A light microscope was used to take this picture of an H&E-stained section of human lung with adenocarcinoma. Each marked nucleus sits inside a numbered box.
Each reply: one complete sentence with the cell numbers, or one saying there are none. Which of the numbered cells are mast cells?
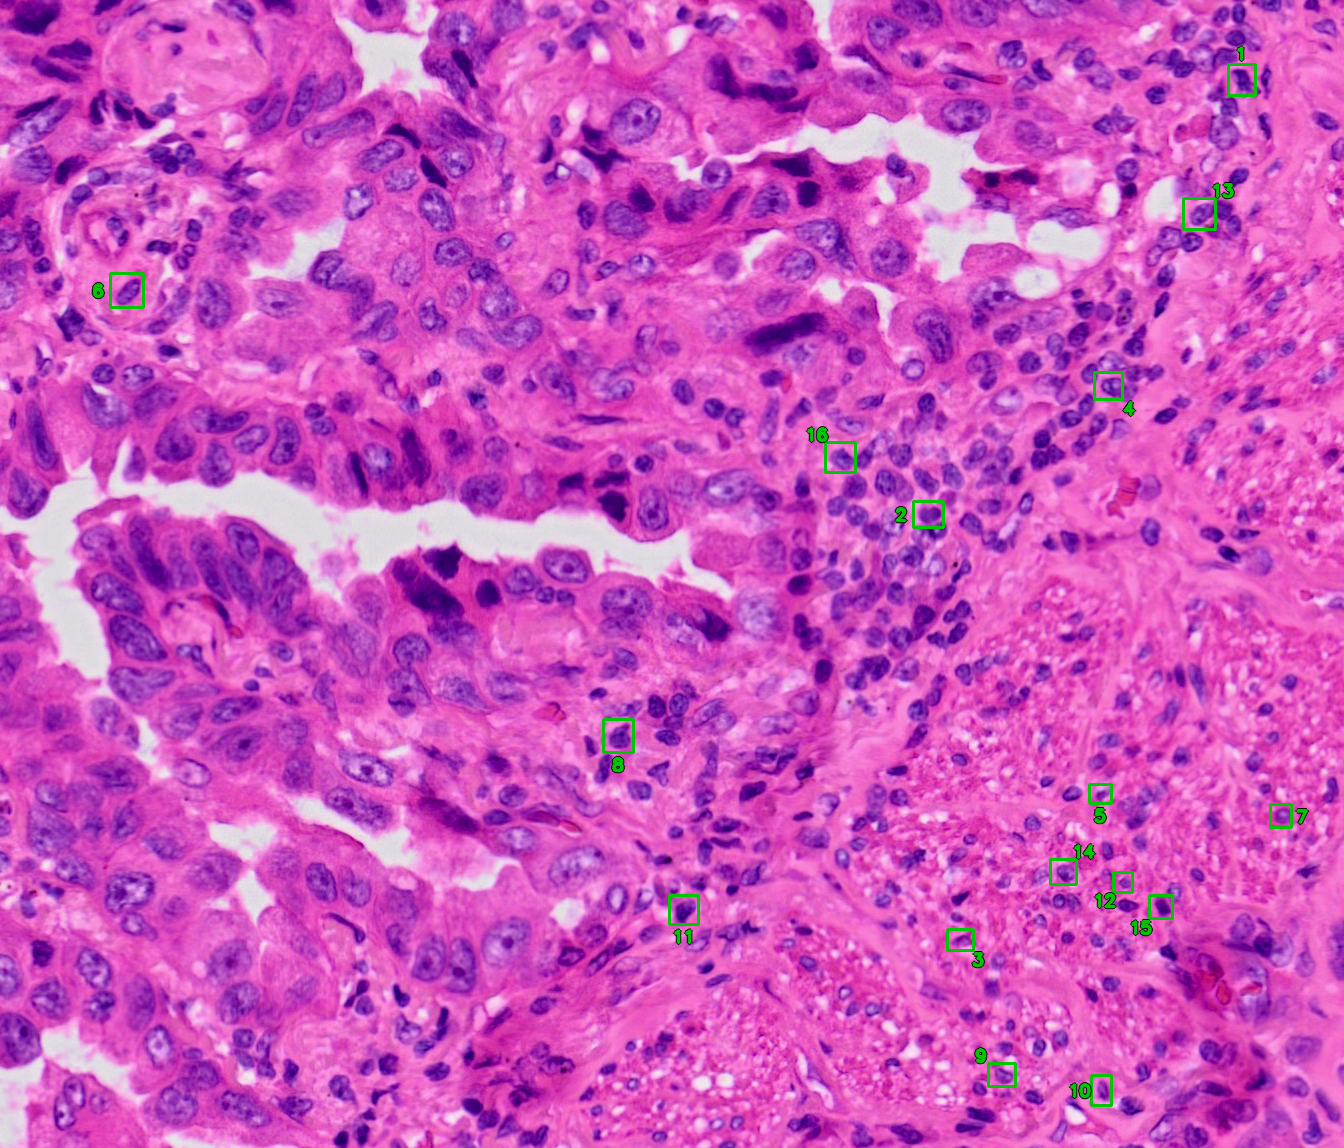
The cells tagged with numbers 6 and 10 are mast cells.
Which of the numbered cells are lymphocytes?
The numbers 1, 2, 4, 8, 11, 13 and 16 in this section indicate lymphocytes.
